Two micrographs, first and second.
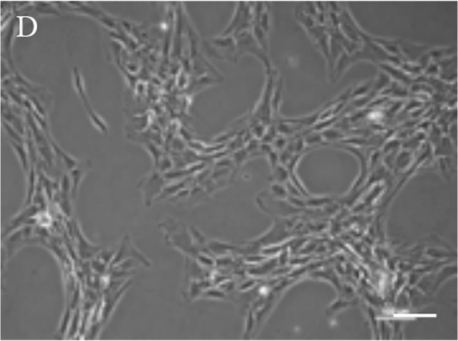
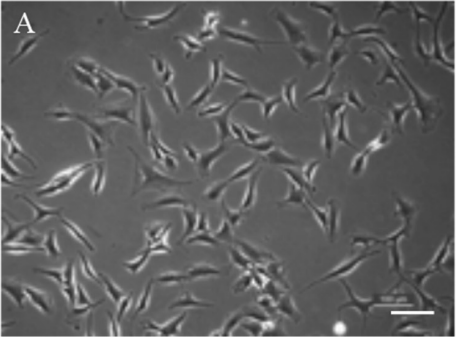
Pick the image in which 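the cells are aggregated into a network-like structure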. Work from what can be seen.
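First image: cells are packed into interconnected cords around empty spaces. Second image: cells are scattered singly or in small groups with no network.
Hence: the first image.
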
